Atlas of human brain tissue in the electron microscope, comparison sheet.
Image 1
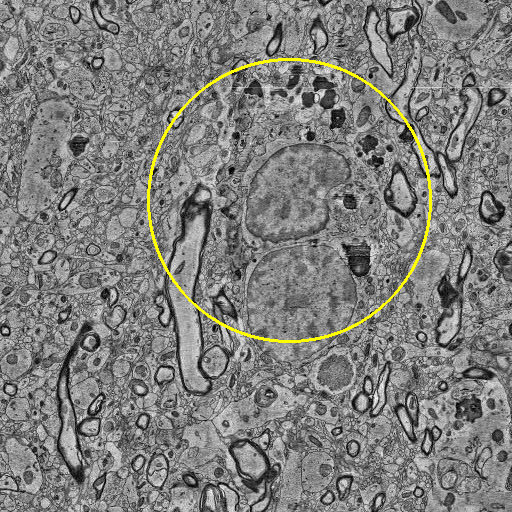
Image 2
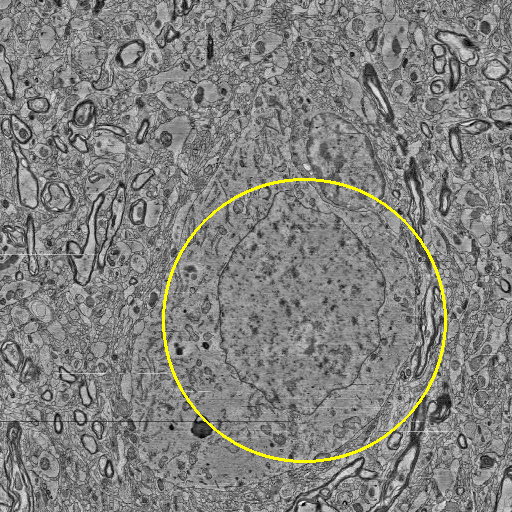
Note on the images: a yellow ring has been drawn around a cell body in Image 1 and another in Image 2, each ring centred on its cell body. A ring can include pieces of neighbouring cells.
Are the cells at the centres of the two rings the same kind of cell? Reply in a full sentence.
No, the two cells are of two kinds.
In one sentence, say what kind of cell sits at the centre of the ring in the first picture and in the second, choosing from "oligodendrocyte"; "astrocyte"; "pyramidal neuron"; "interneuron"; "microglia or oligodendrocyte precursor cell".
The first picture's ringed cell is an oligodendrocyte, while the second picture's is a pyramidal neuron.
